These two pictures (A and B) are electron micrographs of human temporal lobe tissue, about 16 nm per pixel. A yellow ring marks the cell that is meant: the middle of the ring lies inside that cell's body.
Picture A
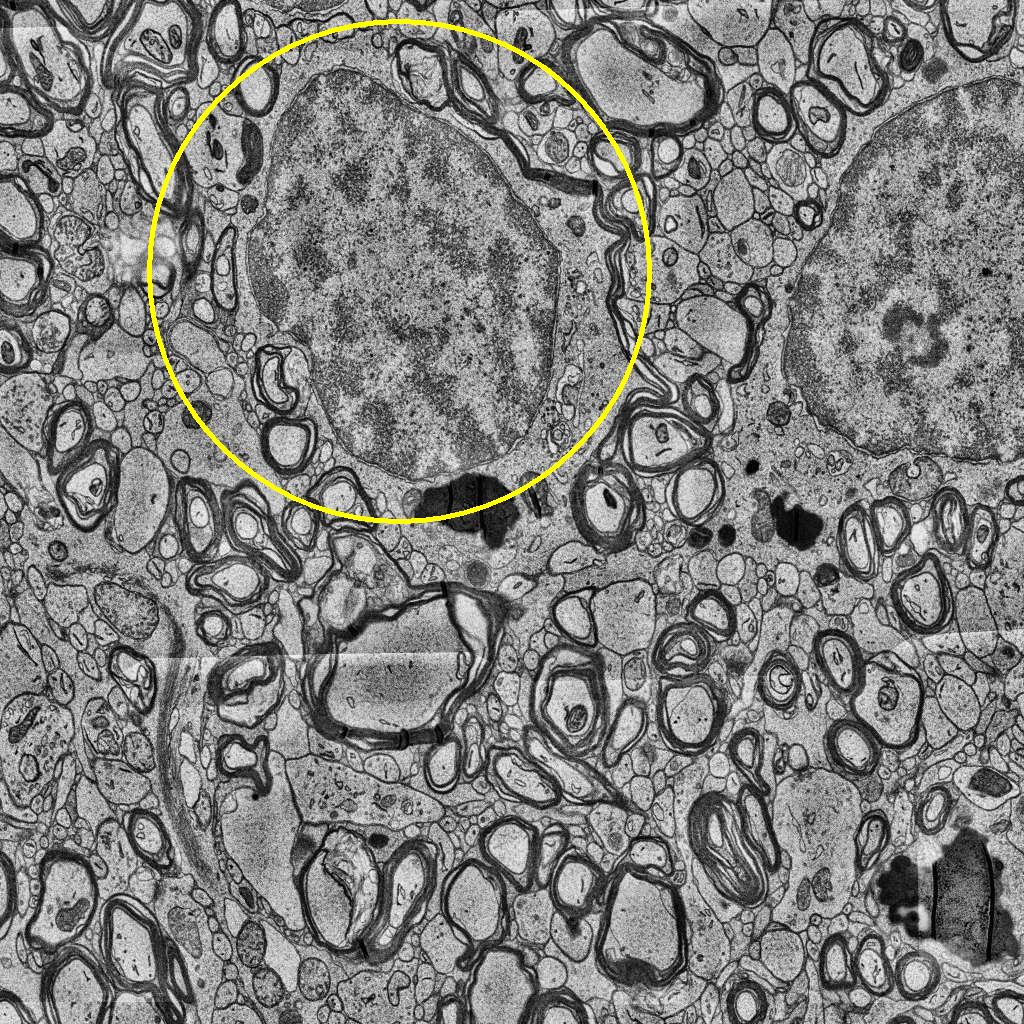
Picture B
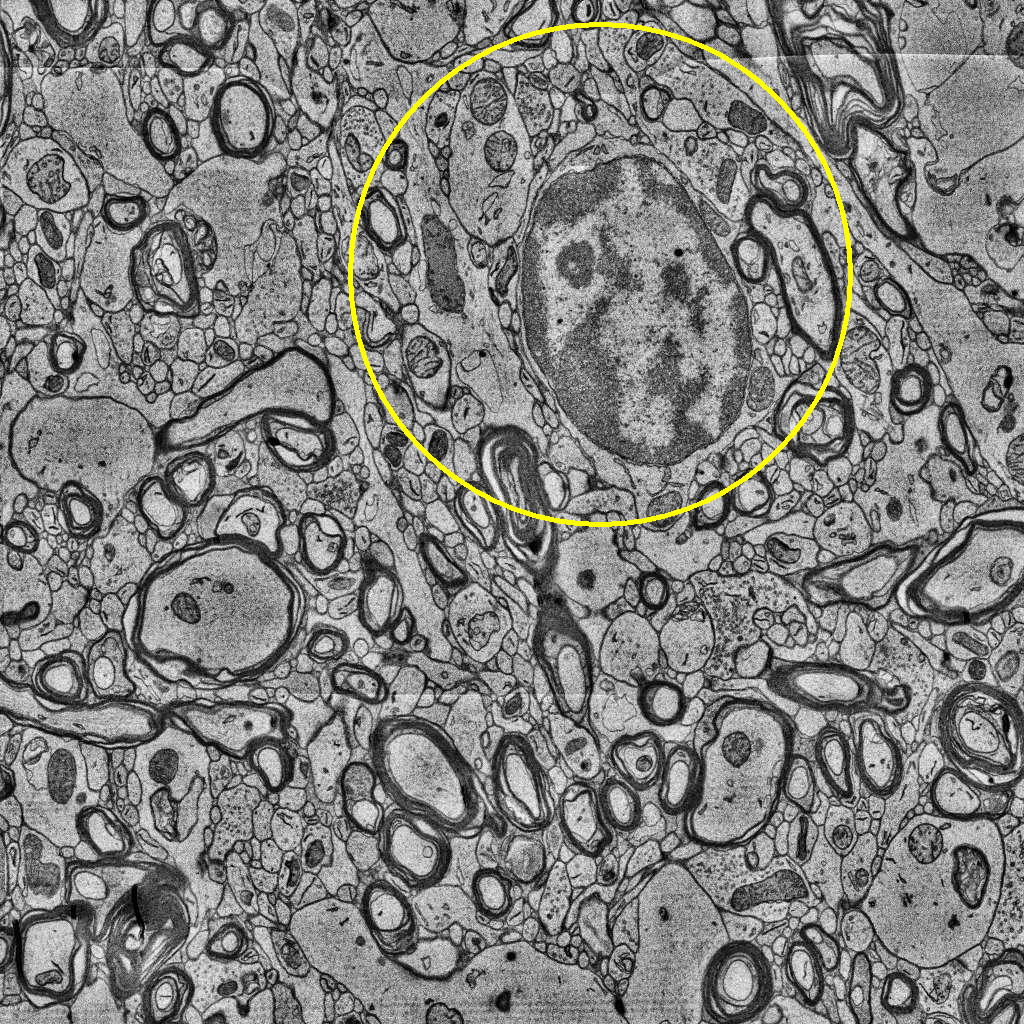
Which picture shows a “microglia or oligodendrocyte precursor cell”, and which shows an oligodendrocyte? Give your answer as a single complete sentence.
It is picture A that shows an oligodendrocyte, and picture B that shows a “microglia or oligodendrocyte precursor cell”.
